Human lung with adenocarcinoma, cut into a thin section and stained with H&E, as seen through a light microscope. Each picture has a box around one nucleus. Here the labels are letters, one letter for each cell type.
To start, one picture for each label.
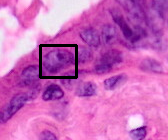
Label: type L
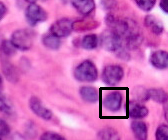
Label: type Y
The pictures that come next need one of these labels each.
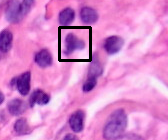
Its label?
type Y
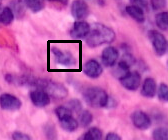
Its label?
type Y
